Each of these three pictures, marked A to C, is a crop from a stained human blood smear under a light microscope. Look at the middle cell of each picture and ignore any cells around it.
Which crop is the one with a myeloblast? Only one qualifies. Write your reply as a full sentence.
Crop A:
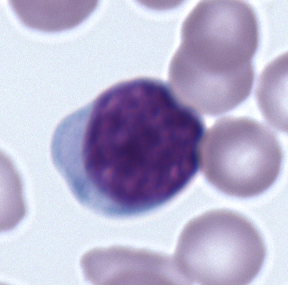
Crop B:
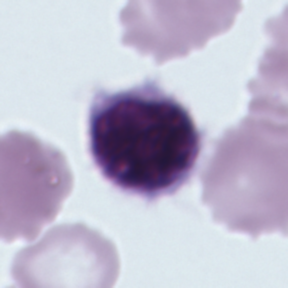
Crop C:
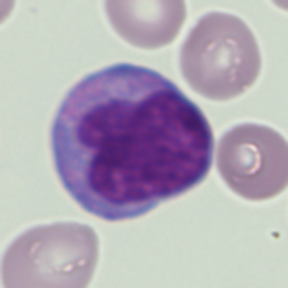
Crop A is the crop in which a myeloblast is shown.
